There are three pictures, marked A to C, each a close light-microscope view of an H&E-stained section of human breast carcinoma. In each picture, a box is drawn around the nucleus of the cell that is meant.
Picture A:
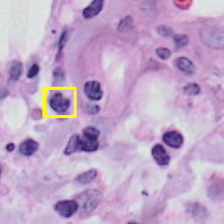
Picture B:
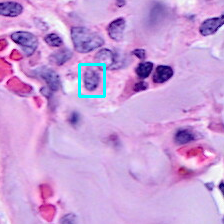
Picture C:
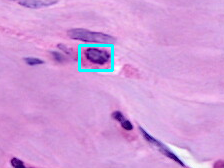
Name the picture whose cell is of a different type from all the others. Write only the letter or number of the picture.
A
